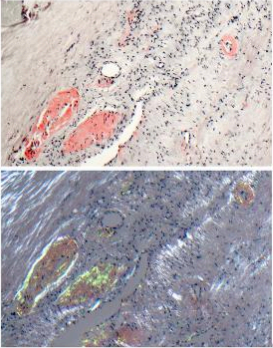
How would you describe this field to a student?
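In the upper image, orange-red homogeneous material fills and surrounds several round and oval vessel profiles, and smaller orange-red rings and flecks lie among the pale fibrous stroma with its scattered small dark nuclei. In the lower image the same deposits light up green to yellow against a dark background, while the surrounding collagen shows only whitish birefringence.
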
